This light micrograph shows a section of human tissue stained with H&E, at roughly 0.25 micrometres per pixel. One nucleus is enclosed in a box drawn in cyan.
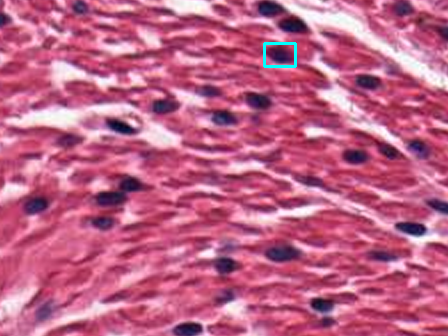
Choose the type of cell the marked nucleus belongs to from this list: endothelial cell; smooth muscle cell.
smooth muscle cell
